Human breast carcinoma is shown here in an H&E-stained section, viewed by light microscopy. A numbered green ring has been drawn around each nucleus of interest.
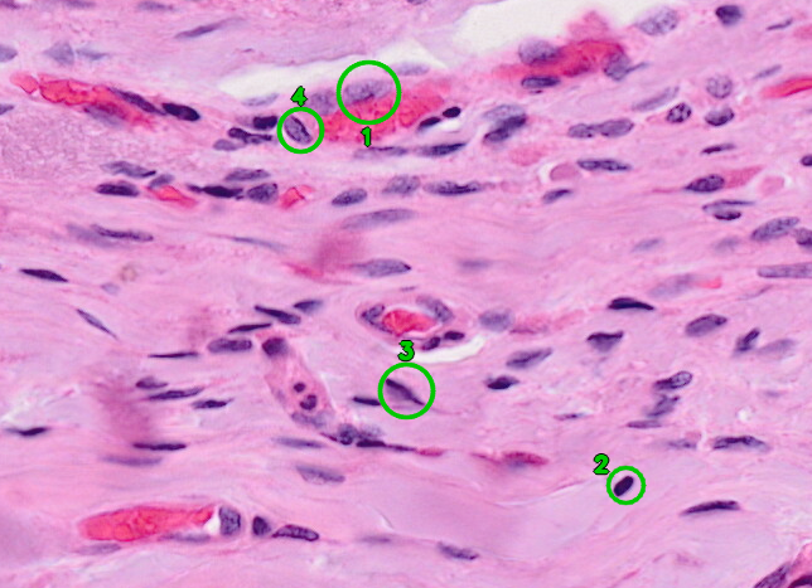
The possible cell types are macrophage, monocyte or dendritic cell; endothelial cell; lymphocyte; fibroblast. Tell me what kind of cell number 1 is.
endothelial cell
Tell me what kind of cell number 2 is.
lymphocyte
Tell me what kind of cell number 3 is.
fibroblast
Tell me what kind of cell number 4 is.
endothelial cell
